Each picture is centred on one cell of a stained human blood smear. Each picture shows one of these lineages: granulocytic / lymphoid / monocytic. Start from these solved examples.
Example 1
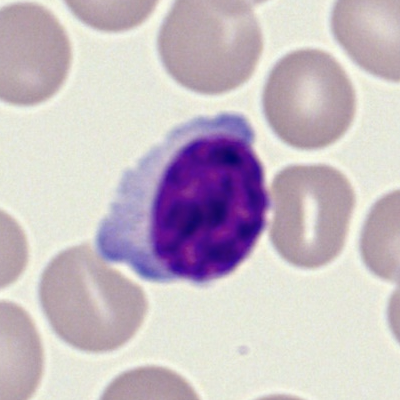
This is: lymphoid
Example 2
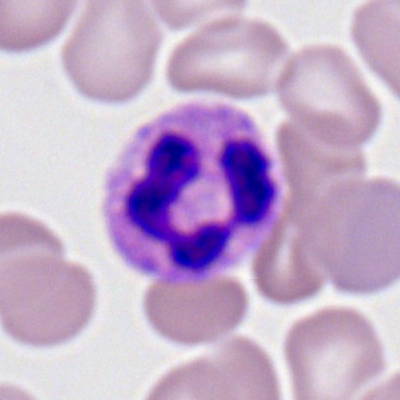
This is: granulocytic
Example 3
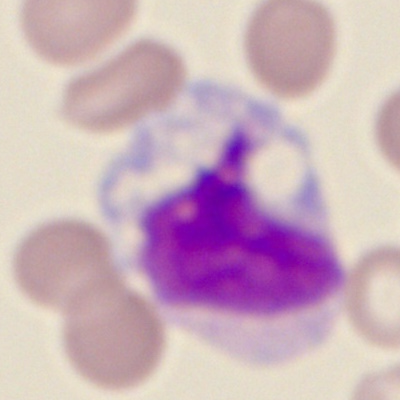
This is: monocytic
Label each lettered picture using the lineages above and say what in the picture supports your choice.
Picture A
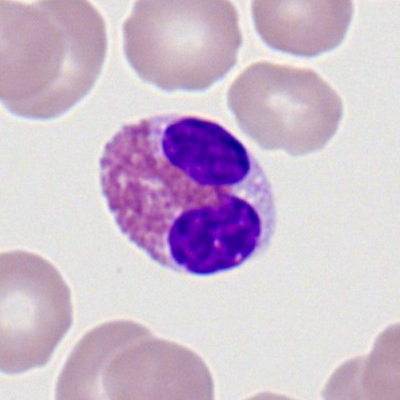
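granulocytic. Evidence: The cytoplasm is packed with coarse orange-pink granules.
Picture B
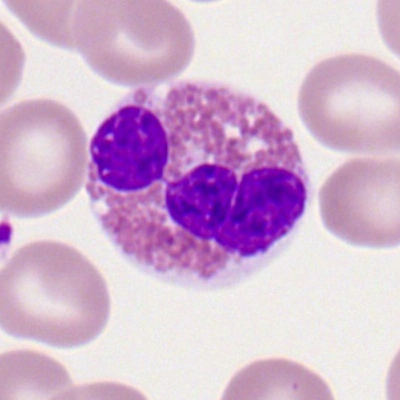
granulocytic. Evidence: The cytoplasm is packed with coarse pink granules.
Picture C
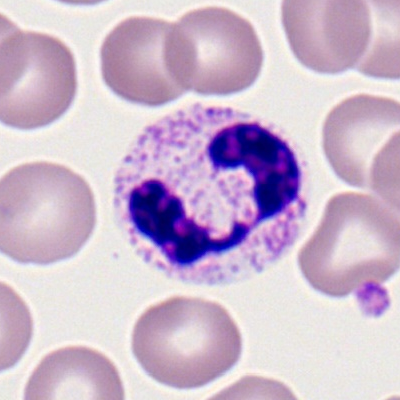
granulocytic. Evidence: The nucleus is a thick, curved band bent around the centre of the cell.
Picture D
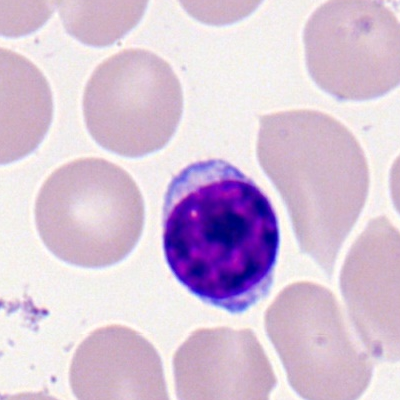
lymphoid. Evidence: The cytoplasm forms only a thin rim around the nucleus.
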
